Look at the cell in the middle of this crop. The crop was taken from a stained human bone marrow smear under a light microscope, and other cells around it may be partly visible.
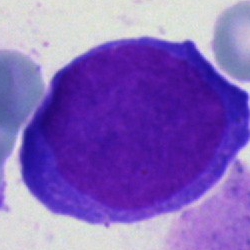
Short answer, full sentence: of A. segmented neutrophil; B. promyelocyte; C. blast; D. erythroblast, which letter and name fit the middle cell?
Well, the cell in the middle is a blast, making option C right.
